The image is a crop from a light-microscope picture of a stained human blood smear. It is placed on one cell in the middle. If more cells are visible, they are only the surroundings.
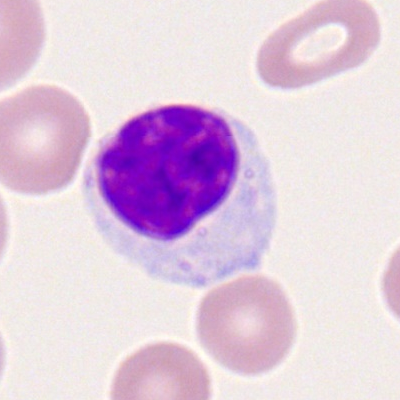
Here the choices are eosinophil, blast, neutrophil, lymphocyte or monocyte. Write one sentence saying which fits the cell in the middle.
The cell of interest, in the center, is a lymphocyte.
